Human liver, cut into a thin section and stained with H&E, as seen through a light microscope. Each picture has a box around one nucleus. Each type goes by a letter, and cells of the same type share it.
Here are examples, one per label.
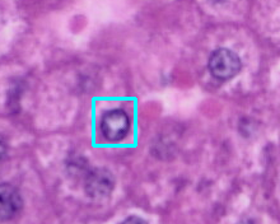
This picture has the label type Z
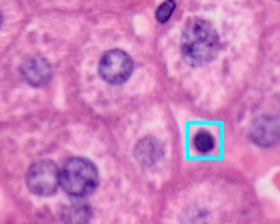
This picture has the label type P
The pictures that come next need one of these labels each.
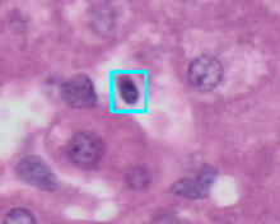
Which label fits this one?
type P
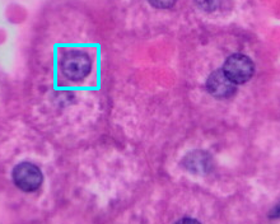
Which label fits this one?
type Z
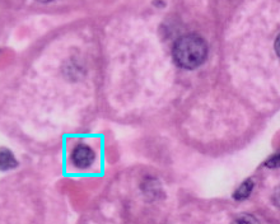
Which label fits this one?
type P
